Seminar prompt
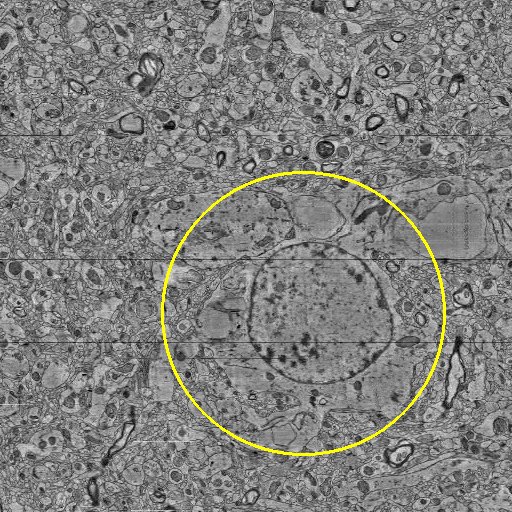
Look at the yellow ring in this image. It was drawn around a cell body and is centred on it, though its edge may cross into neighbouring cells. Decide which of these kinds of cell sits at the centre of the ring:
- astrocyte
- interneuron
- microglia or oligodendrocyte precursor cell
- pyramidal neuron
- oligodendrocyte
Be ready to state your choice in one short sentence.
The kind of cell at the ring's centre is an astrocyte.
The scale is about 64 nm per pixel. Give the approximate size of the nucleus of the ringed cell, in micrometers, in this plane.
In this plane the nucleus measures roughly 9 micrometres across.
